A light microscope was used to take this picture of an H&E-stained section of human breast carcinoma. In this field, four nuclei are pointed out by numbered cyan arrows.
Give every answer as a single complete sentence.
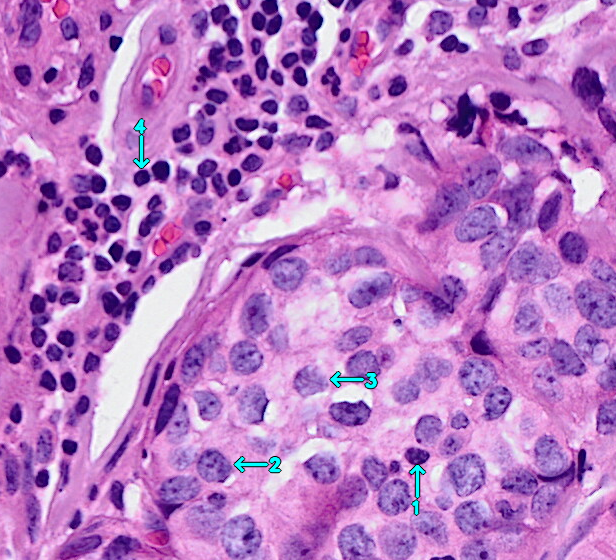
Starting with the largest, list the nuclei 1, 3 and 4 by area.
The nuclei rank 3, 1, 4, from largest to smallest.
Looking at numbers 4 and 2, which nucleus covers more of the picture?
It is nucleus 2, which covers about 4 times the area of nucleus 4.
